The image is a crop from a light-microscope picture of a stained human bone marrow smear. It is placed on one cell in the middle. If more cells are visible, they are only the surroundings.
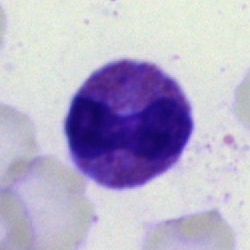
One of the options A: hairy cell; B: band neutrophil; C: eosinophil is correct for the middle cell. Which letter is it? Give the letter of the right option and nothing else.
C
